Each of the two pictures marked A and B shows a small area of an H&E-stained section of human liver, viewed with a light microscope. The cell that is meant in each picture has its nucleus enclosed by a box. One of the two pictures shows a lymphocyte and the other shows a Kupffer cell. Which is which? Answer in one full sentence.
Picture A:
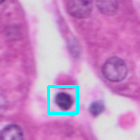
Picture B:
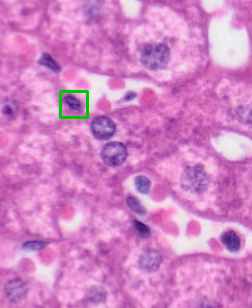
Picture A is of a lymphocyte, and picture B is of a Kupffer cell.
